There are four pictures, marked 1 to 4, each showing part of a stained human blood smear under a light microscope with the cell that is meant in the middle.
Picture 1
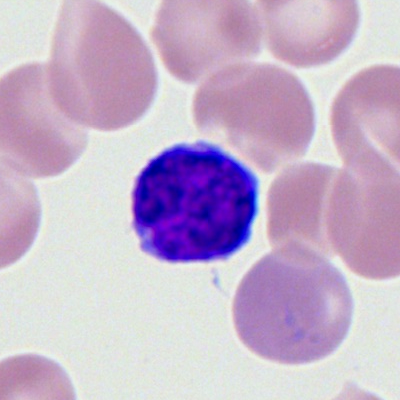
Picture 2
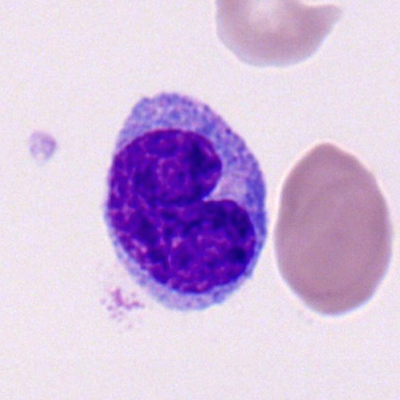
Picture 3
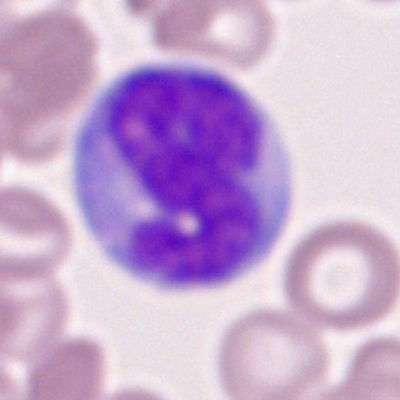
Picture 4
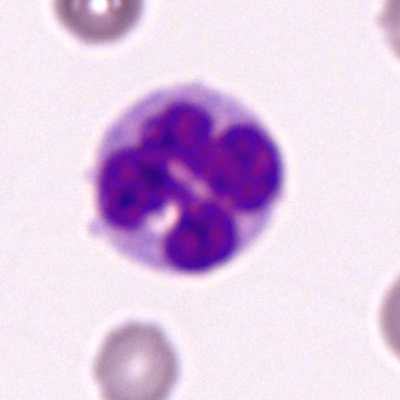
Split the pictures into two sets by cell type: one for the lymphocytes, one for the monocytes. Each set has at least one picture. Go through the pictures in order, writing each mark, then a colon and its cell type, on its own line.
1: lymphocyte
2: monocyte
3: monocyte
4: monocyte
